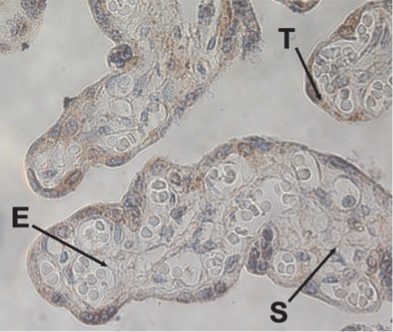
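Chorionic villi of the placenta are cut across. Each villus is covered by a thin layer of trophoblasts with blue nuclei and faintly brown cytoplasm. The layer surrounds a loose stroma with scattered stromal cells and many small capillaries, which are lined by flat endothelial cells and hold clusters of red blood cells.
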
